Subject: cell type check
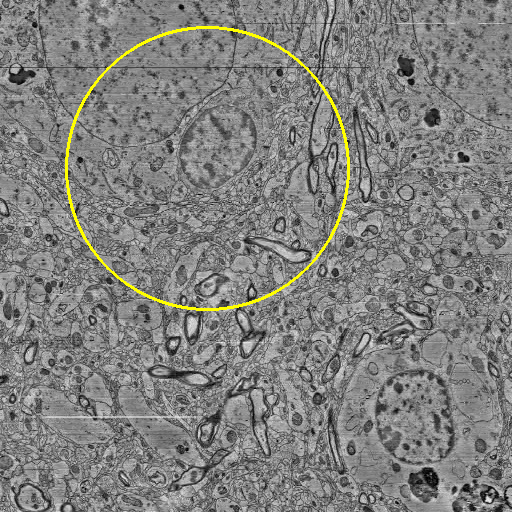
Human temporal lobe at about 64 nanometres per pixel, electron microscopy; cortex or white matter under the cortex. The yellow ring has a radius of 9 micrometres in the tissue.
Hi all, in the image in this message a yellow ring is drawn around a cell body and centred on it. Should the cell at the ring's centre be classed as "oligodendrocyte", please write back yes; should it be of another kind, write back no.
yes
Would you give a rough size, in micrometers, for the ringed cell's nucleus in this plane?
The nucleus works out at approximately 6 by 4 micrometres in this plane.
